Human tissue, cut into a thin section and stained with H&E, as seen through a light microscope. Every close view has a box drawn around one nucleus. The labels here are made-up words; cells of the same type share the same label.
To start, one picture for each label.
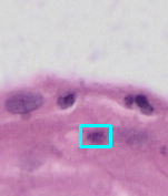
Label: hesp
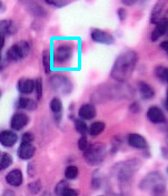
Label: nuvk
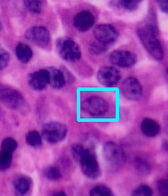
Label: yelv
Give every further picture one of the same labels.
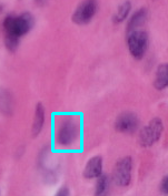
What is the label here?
nuvk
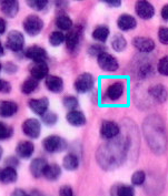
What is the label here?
nuvk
